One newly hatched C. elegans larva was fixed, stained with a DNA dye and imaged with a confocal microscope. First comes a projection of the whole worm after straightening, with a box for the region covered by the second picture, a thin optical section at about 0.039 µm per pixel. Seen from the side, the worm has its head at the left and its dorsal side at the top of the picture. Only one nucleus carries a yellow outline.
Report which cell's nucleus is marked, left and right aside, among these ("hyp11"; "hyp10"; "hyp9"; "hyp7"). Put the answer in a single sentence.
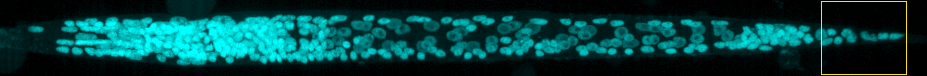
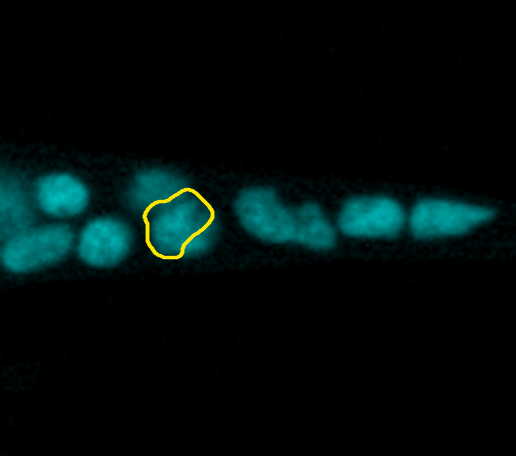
This is the nucleus of hyp11, a hypodermal cell (hyp).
